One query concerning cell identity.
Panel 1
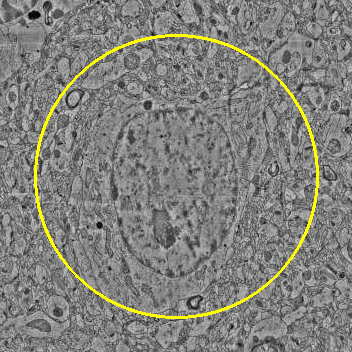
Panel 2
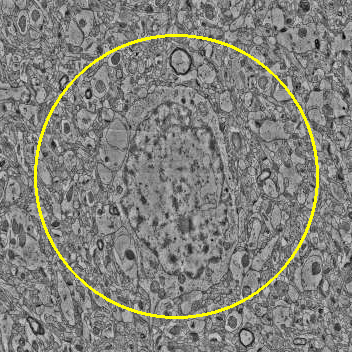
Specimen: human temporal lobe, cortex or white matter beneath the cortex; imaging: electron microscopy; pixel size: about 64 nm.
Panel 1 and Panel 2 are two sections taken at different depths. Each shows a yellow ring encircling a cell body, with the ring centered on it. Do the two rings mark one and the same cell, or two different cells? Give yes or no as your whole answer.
no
